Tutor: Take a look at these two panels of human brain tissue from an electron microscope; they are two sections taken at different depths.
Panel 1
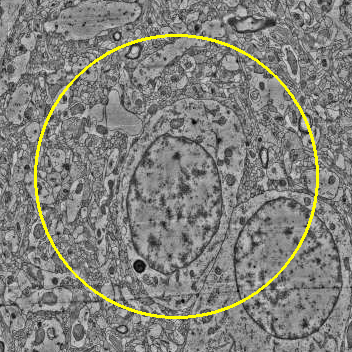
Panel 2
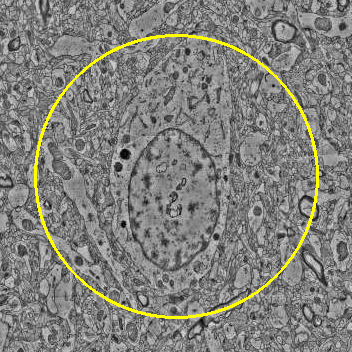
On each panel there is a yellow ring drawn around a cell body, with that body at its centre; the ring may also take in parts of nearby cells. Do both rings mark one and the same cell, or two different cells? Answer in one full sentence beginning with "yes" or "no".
No, the two rings outline two separate cells in this micrograph.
